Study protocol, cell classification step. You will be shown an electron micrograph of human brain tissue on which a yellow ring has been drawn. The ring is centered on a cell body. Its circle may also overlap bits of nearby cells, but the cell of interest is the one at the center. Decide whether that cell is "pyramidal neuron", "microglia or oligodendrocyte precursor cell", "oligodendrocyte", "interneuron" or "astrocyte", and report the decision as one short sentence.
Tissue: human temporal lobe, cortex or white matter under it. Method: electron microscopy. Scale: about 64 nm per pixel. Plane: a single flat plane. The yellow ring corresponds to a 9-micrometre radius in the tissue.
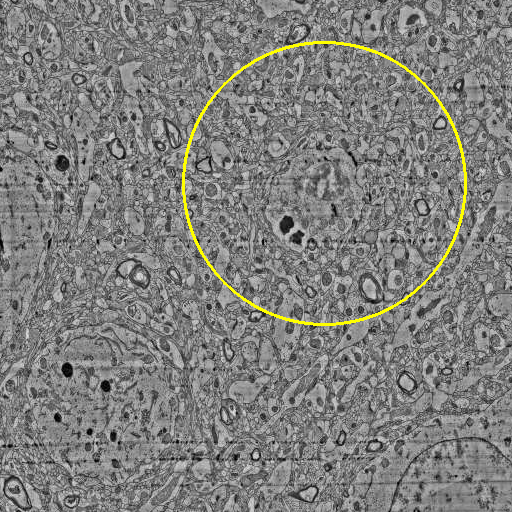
The marked cell is an interneuron.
